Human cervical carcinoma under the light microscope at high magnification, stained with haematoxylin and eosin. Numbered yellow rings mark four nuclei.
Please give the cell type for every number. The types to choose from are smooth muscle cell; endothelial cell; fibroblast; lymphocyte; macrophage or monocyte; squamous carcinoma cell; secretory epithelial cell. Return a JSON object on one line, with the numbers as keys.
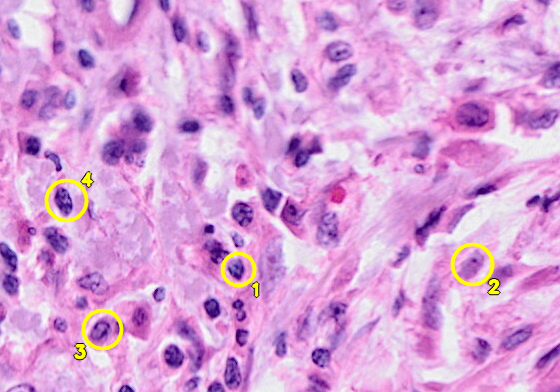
{"1": "lymphocyte", "2": "fibroblast", "3": "macrophage or monocyte", "4": "lymphocyte"}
